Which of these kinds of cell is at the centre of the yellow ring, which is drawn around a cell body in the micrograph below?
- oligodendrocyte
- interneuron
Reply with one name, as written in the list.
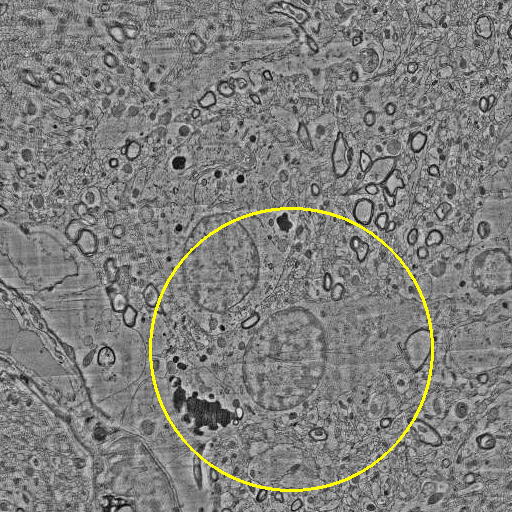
oligodendrocyte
